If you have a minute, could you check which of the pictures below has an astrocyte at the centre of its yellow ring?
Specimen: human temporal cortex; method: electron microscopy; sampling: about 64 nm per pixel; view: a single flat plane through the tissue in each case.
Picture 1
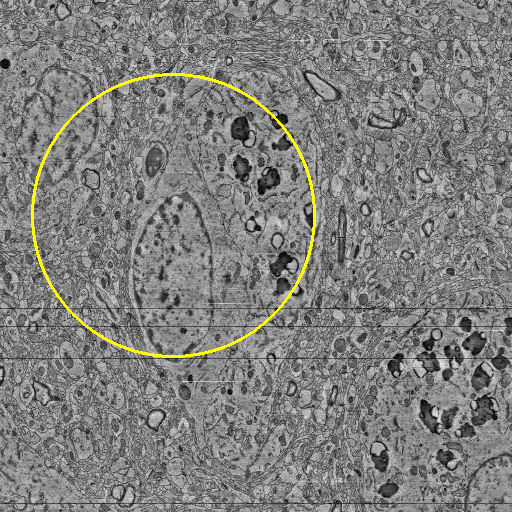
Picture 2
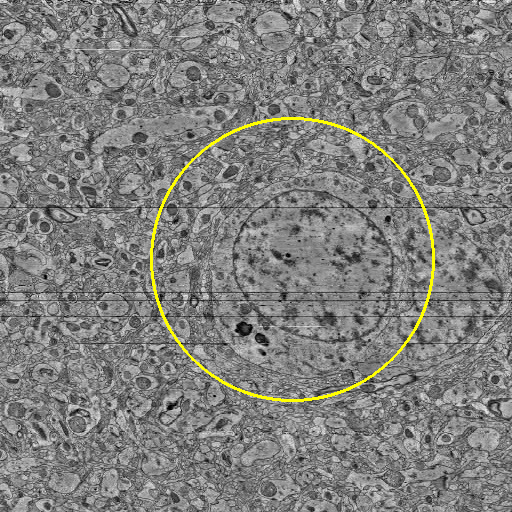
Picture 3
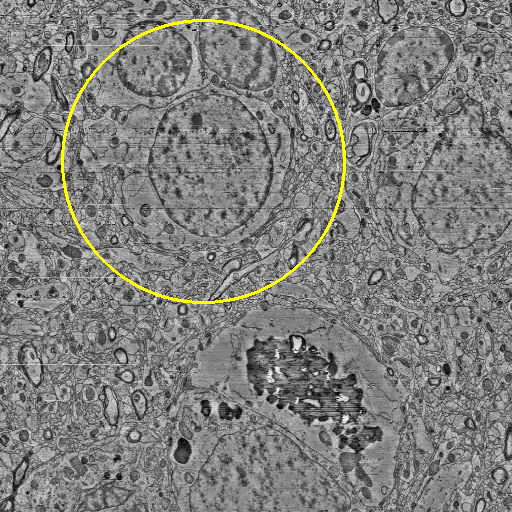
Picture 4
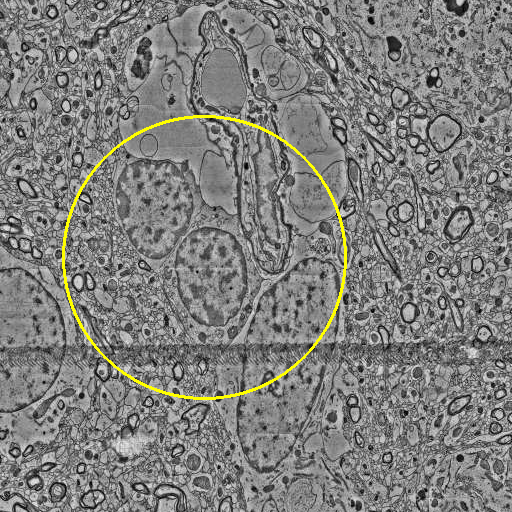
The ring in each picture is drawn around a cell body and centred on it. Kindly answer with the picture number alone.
3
